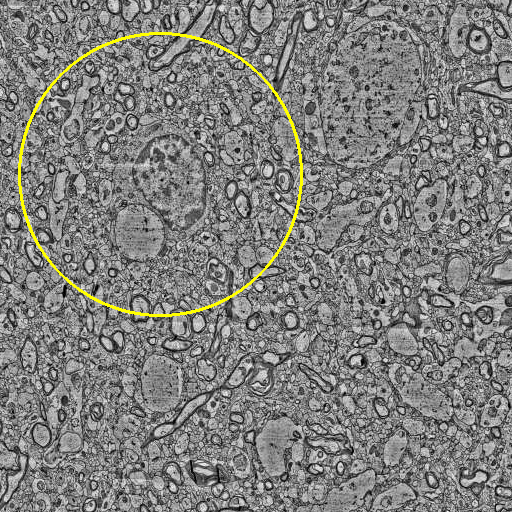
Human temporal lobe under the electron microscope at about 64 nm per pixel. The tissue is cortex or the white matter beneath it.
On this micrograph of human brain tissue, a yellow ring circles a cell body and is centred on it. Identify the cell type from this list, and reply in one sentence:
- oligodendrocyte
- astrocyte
The cell at the centre is an oligodendrocyte.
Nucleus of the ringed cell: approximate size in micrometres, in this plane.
About 6 by 5 micrometres in this plane.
